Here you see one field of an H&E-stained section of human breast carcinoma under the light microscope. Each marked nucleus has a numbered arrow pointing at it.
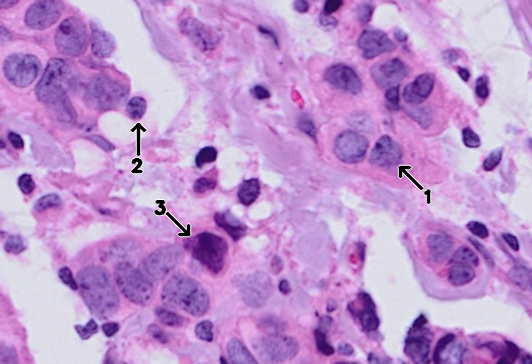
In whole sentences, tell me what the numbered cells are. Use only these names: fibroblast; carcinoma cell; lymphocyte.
Cells 1 and 3 are carcinoma cells. Cell 2 is a lymphocyte.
